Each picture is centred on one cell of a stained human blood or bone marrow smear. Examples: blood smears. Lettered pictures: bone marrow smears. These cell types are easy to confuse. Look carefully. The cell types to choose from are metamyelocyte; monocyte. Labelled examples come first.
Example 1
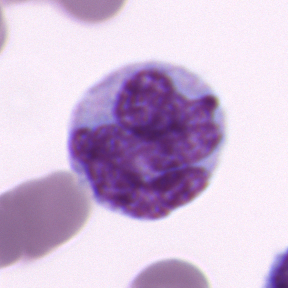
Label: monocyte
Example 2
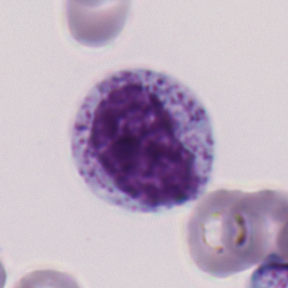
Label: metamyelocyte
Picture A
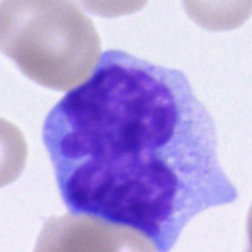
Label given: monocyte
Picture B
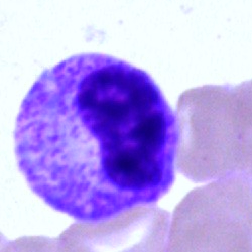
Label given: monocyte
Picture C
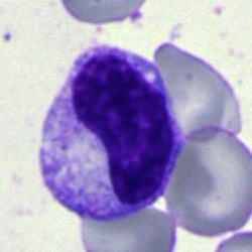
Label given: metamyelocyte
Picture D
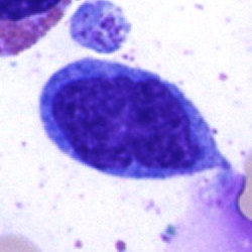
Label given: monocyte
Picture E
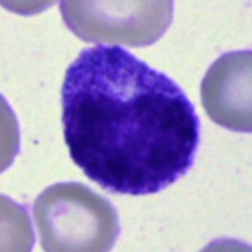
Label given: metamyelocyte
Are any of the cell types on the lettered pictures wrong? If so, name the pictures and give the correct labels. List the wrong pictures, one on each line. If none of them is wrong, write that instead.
B is labelled monocyte; correct label: metamyelocyte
